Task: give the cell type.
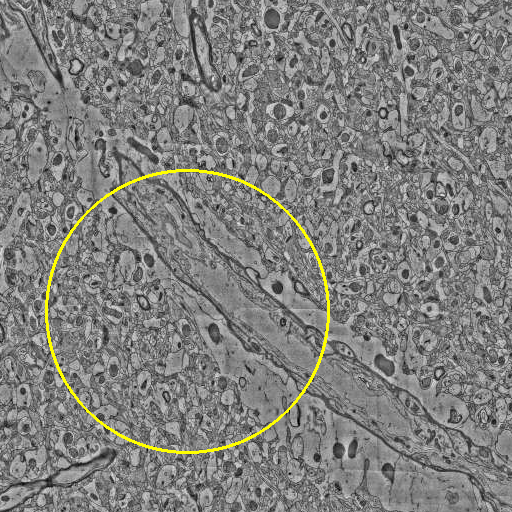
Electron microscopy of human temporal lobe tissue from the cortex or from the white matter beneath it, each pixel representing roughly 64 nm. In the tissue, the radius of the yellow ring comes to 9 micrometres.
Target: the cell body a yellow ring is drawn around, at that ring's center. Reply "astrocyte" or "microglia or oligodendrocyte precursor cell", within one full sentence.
In this picture, the cell whose body lies at the ring's center is a microglial cell or oligodendrocyte precursor cell.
